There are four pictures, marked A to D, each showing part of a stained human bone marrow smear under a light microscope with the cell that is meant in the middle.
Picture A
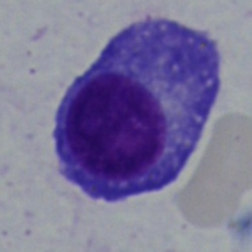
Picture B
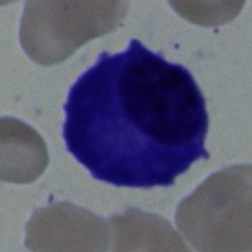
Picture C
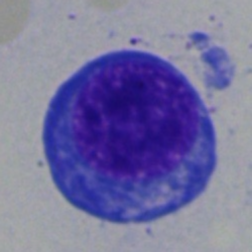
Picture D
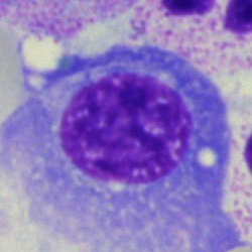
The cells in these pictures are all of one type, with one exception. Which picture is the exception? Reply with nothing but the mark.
C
